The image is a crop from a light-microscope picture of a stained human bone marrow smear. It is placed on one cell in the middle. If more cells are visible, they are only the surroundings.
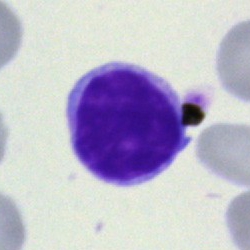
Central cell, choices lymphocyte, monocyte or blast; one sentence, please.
Located at the centre of the crop is a lymphocyte.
